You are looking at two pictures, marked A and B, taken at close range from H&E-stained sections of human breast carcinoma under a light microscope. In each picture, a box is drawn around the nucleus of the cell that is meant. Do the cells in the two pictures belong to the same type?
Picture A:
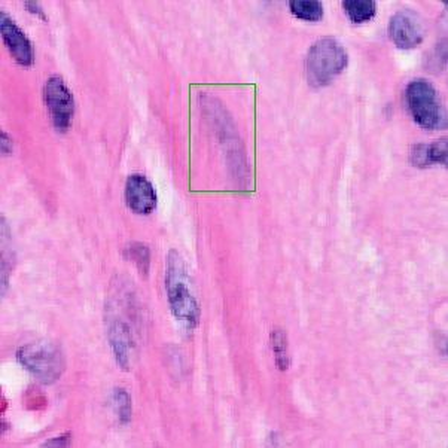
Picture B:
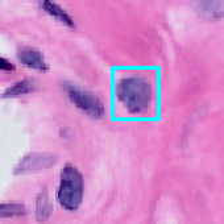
no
